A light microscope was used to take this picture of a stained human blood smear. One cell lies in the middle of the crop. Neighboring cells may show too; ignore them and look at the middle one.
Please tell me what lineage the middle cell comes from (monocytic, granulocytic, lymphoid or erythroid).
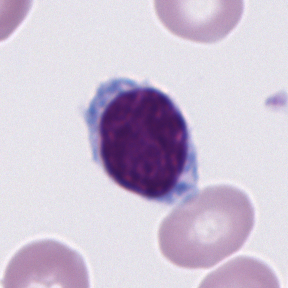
lymphoid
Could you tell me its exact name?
typical lymphocyte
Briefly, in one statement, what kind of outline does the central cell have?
Irregular and not smooth, the cell boundary is ragged or drawn out into projections.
